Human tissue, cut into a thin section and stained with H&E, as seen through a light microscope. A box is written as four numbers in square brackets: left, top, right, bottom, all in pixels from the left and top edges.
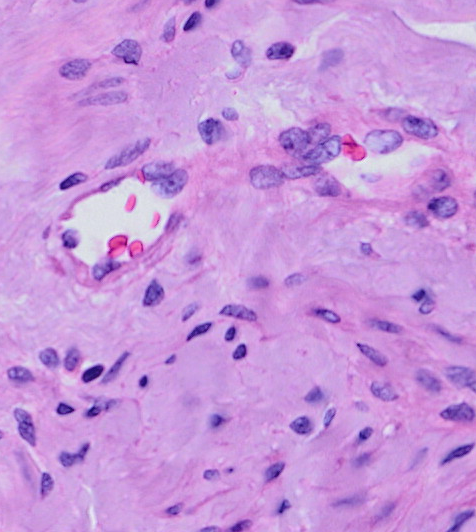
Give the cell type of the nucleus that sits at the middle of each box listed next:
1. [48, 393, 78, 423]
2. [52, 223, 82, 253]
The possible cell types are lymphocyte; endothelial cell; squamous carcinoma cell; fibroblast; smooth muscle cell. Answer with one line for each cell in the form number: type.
1: fibroblast
2: endothelial cell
